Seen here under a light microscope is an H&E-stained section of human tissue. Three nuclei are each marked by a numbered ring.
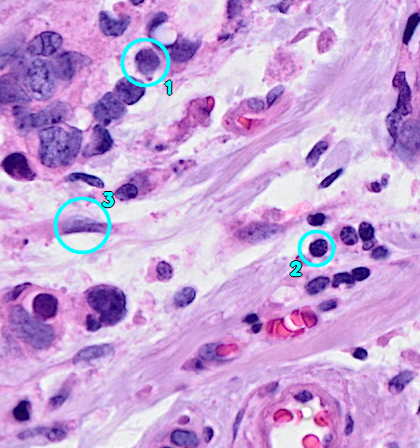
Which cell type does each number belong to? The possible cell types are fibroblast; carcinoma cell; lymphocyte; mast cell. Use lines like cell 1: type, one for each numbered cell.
cell 1: carcinoma cell
cell 2: lymphocyte
cell 3: fibroblast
